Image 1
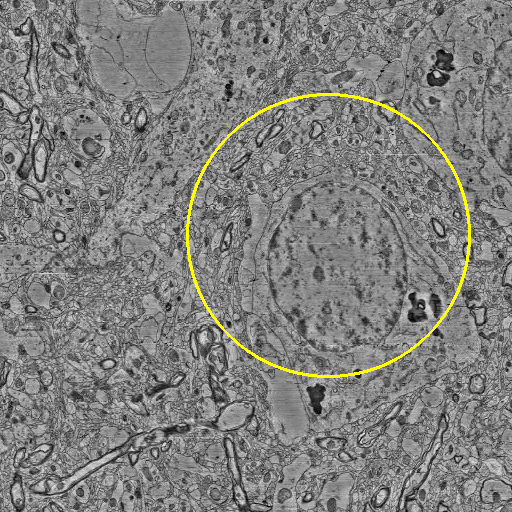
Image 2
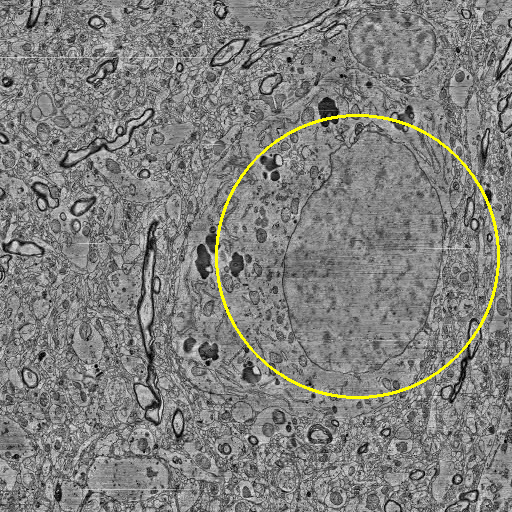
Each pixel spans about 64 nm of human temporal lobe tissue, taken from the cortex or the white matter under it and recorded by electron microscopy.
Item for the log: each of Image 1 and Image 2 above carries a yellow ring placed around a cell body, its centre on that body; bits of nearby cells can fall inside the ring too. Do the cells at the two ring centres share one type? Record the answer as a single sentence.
Yes, the two cells at the ring centres in Image 1 and Image 2 share one type.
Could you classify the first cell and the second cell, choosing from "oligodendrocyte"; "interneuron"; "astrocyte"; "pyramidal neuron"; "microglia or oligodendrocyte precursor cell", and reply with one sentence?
Both rings mark an interneuron, one in each picture.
